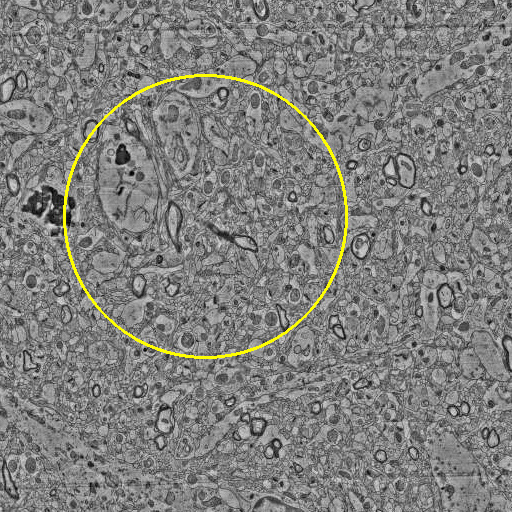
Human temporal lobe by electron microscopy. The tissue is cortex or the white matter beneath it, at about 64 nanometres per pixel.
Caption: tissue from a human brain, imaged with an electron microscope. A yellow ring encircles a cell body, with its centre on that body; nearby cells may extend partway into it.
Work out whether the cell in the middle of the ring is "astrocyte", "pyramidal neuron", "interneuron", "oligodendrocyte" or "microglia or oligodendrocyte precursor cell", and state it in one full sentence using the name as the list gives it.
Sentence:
In the picture, the cell that the yellow ring surrounds at its centre is an oligodendrocyte.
